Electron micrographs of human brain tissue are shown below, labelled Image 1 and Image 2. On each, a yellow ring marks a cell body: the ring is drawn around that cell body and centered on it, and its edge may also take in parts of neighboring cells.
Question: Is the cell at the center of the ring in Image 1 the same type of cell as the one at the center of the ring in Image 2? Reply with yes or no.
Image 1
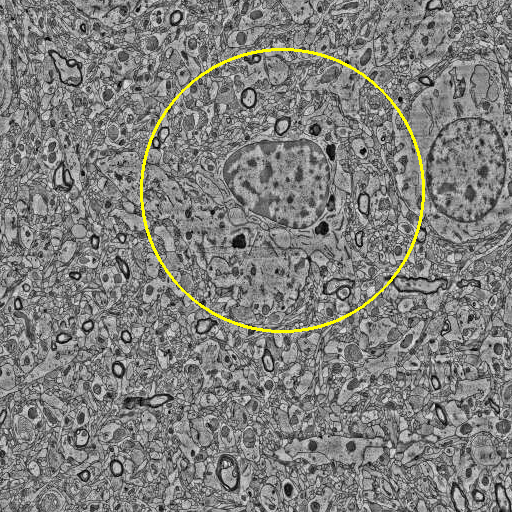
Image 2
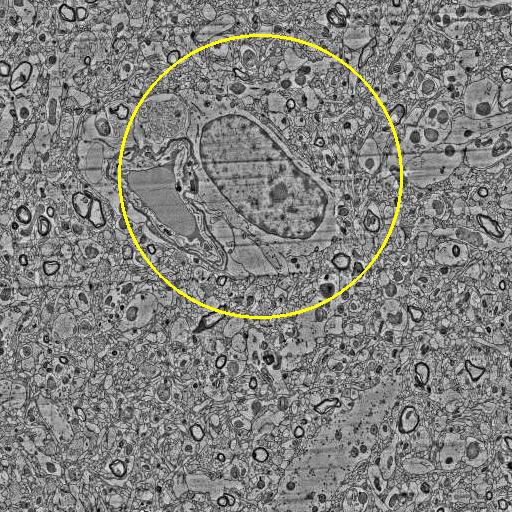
yes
